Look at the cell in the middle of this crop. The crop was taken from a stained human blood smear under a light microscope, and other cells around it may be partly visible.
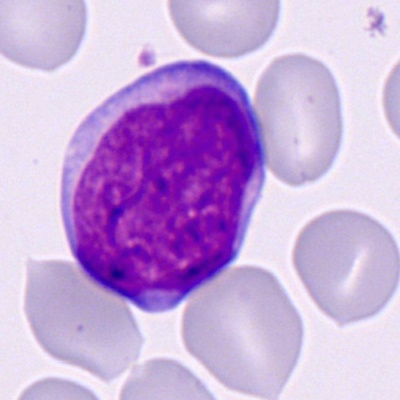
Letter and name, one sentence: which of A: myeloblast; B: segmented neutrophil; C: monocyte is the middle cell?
The correct response is option A, naming the cell in the middle as a myeloblast.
